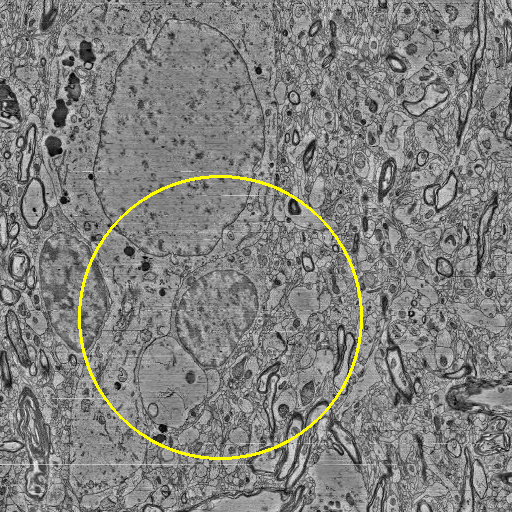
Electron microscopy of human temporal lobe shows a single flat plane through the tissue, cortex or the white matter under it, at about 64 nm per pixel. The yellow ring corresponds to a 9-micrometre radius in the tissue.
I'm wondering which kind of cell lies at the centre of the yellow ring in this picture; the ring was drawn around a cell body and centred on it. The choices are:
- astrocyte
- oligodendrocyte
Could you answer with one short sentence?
At the centre of the ring lies an oligodendrocyte.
